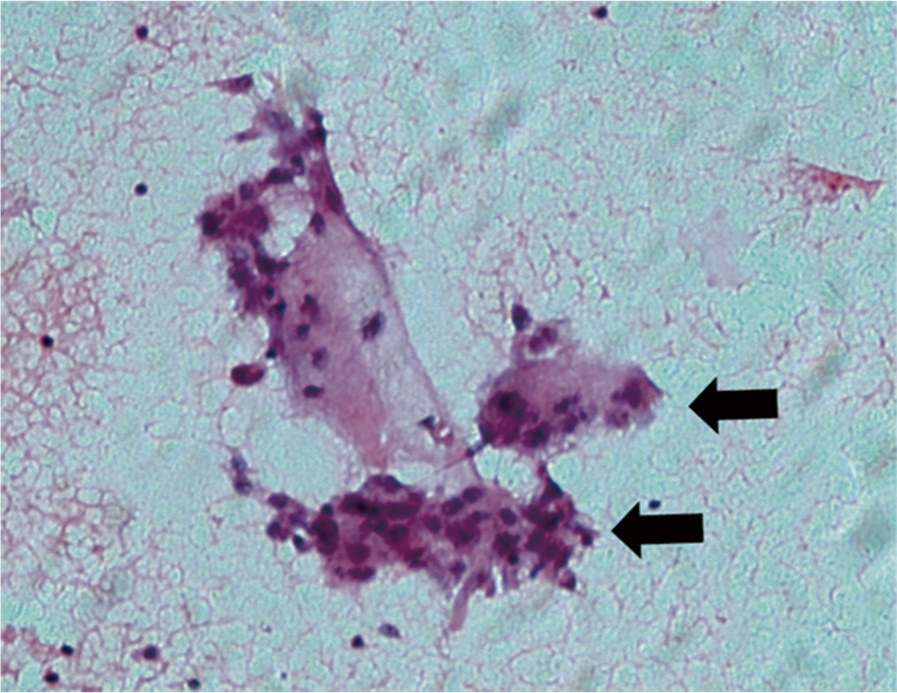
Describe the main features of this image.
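Two large bodies of shared pink-purple cytoplasm each hold numerous crowded, oval, dark purple nuclei. Beside them lies a larger, paler pink sheet of cytoplasm with scattered oval nuclei, fringed by small dark cells along its upper left edge. The background is a pale blue-green, finely bubbly film with a faint pink lacy tinge in places. Few isolated small round dark nuclei are scattered across this background, well apart from the central cluster.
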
